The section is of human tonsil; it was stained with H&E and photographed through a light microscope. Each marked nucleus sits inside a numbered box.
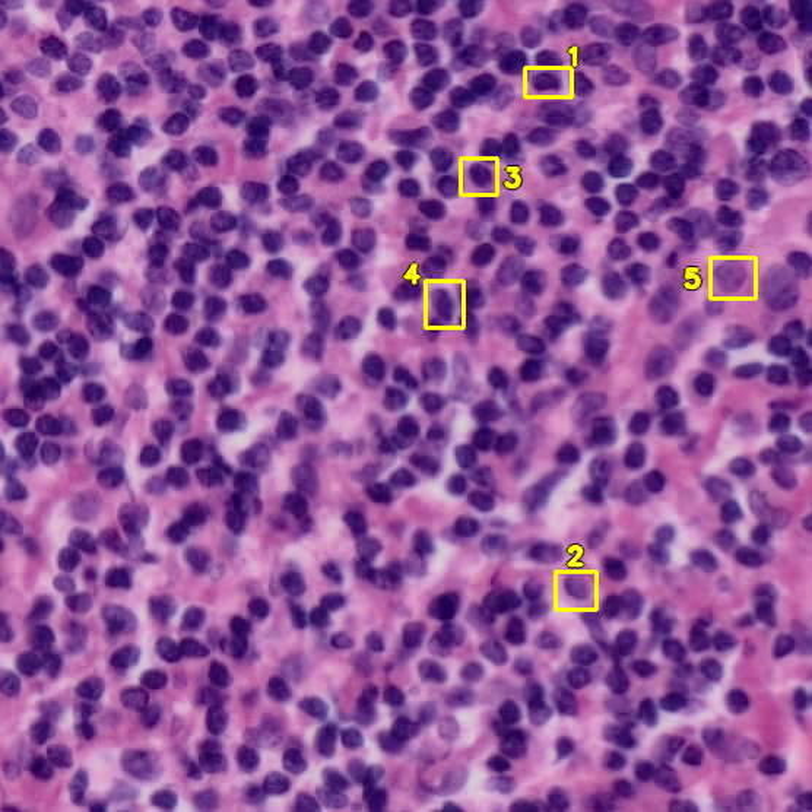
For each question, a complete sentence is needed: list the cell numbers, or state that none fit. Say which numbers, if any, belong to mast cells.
Of all the numbered cells, only one is a mast cell, and that is cell 2.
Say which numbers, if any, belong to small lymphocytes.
The cells with the numbers 1, 3 and 4 are small lymphocytes.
